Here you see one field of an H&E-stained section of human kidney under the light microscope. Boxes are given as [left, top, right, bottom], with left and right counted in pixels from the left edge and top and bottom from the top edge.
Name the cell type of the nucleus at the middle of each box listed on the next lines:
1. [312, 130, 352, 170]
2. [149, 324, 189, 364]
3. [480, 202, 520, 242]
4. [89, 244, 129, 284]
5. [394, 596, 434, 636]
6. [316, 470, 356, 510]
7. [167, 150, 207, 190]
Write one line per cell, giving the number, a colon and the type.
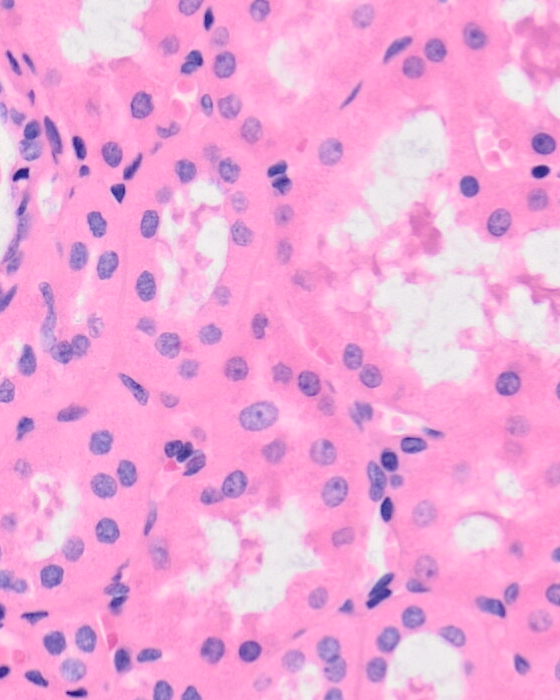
1: proximal tubule cell
2: loop of Henle or distal tubule cell
3: proximal tubule cell
4: loop of Henle or distal tubule cell
5: loop of Henle or distal tubule cell
6: proximal tubule cell
7: loop of Henle or distal tubule cell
